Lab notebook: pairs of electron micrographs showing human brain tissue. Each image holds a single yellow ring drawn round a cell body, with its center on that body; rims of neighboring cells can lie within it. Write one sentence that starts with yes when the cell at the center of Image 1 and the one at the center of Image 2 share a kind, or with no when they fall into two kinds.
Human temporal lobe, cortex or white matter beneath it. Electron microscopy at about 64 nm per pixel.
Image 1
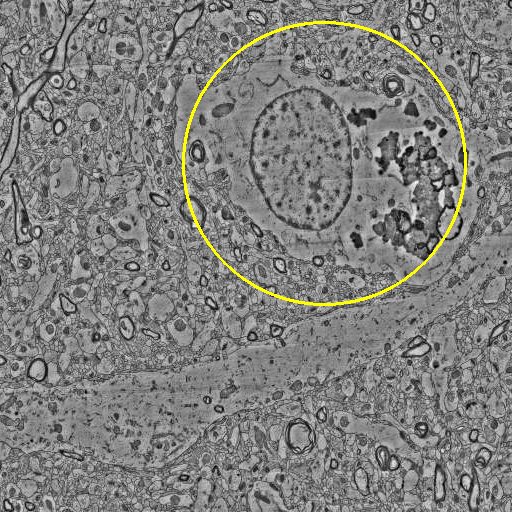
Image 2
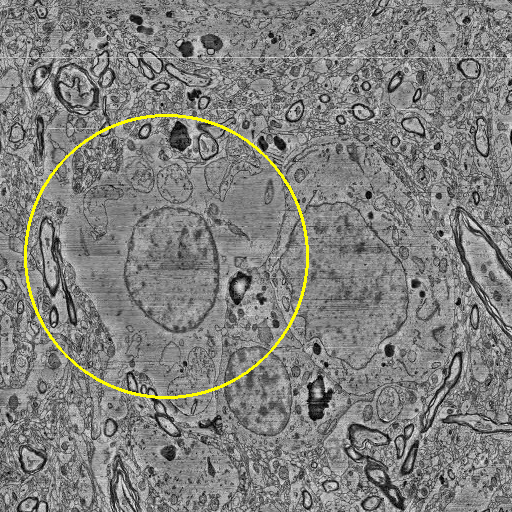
Yes, the centered cell in Image 1 and the centered cell in Image 2 are of one kind.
